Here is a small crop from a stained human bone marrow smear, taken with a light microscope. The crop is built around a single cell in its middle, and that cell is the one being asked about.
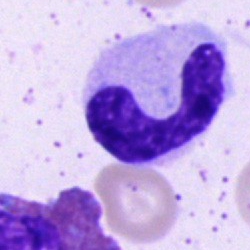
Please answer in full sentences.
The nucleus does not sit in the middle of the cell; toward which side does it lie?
Toward the bottom of the cell lies its nucleus.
